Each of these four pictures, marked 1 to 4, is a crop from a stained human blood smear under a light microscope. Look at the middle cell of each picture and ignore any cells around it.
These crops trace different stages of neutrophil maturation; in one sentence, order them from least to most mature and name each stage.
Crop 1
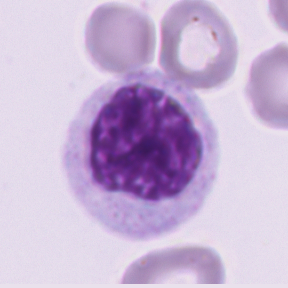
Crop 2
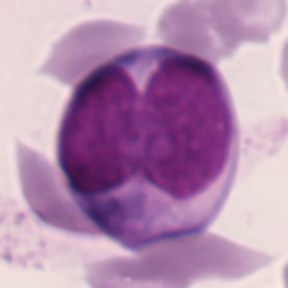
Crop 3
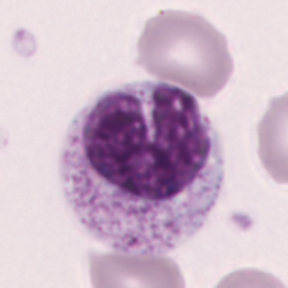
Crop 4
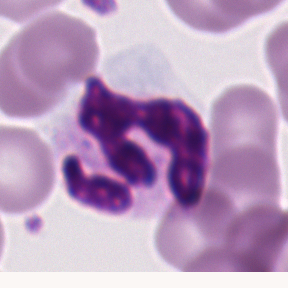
Across the crops, maturity increases in the order crop 2 (a myeloblast), crop 1 (a metamyelocyte), crop 3 (a band neutrophil) and crop 4 (a segmented neutrophil).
